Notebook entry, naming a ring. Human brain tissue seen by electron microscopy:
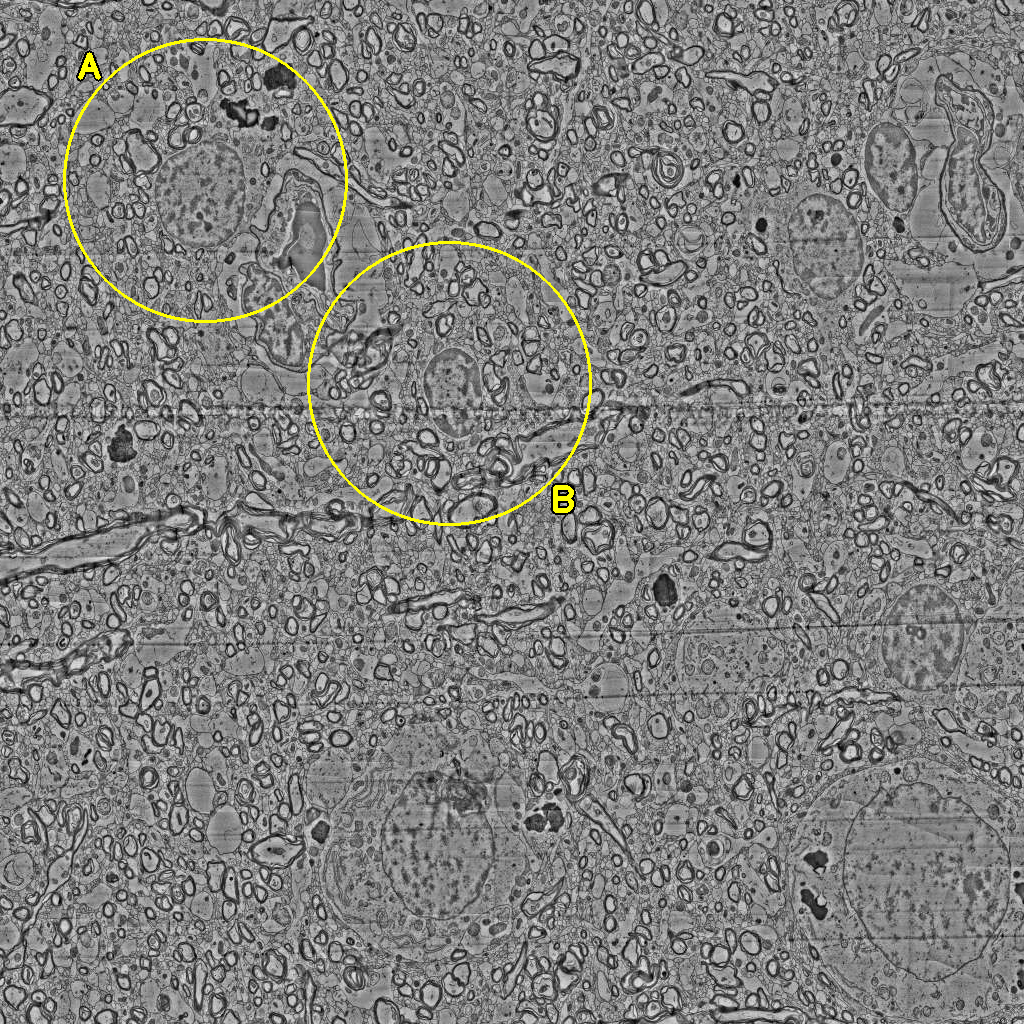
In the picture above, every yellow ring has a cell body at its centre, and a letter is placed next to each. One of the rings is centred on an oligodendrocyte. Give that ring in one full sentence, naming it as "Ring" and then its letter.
Ring A is the ring whose centre holds the cell asked for.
